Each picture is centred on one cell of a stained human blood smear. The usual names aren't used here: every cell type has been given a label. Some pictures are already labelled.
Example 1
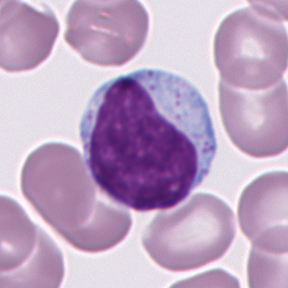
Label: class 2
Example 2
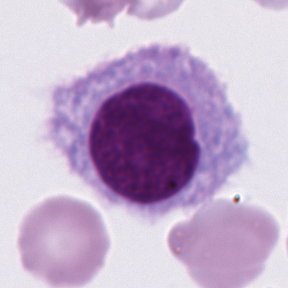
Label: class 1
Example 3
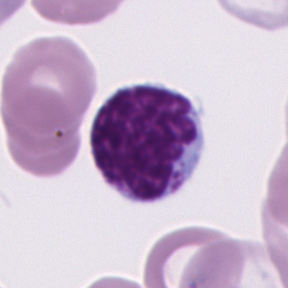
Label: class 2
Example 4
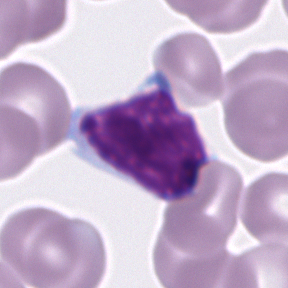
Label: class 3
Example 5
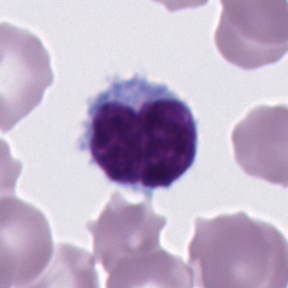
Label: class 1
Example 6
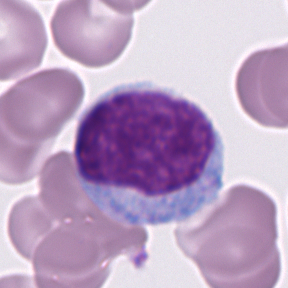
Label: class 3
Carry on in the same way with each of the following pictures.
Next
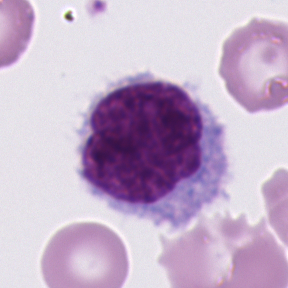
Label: class 1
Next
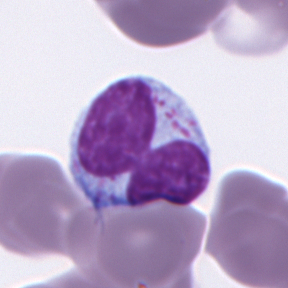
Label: class 2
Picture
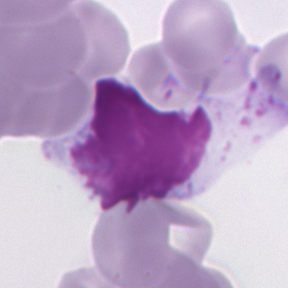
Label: class 2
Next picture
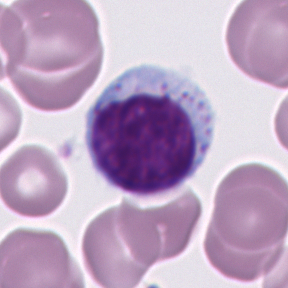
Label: class 2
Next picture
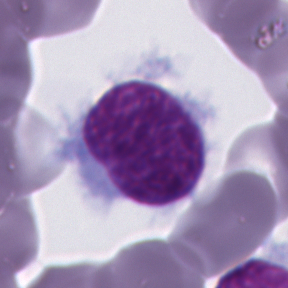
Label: class 1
